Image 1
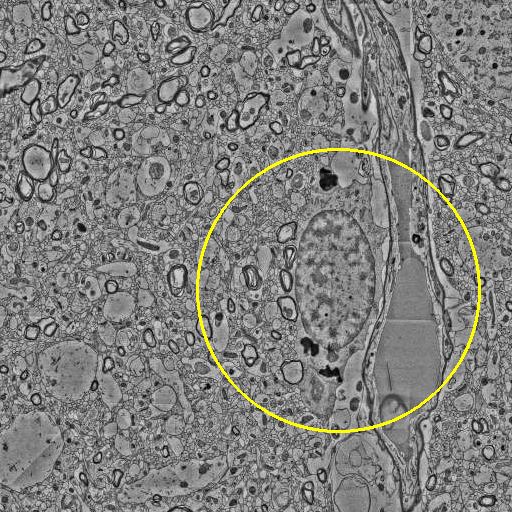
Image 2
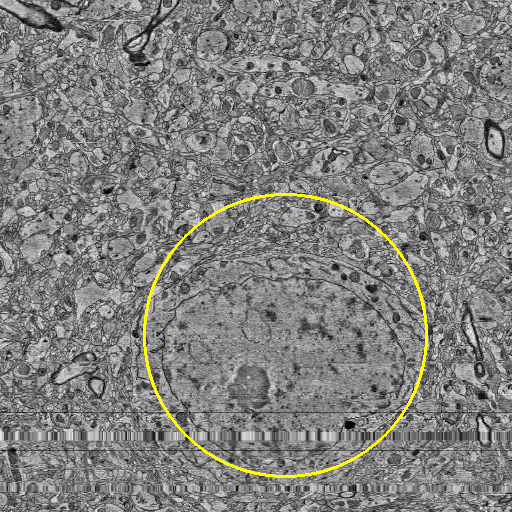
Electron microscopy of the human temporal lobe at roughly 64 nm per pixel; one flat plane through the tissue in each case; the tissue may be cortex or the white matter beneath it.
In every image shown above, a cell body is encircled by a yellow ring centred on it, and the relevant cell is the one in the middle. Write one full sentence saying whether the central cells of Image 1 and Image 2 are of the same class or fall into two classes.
The cell at the ring's centre in Image 1 and its counterpart in Image 2 fall into two classes.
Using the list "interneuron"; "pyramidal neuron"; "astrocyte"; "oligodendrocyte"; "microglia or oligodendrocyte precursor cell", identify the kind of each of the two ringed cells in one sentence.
The first is an oligodendrocyte and the second is a pyramidal neuron.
